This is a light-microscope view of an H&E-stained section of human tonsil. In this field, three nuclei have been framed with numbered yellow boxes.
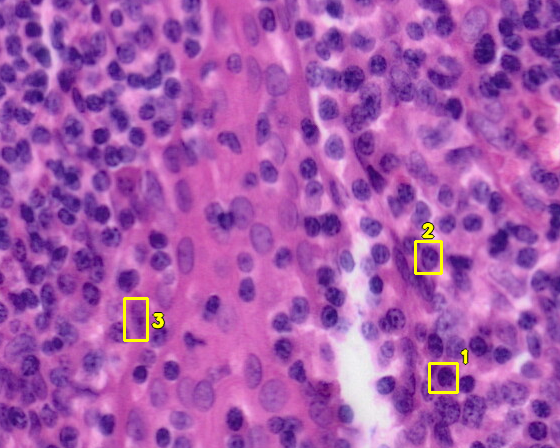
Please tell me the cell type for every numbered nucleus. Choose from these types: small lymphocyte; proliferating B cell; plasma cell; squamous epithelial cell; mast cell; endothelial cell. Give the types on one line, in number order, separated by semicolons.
plasma cell; plasma cell; squamous epithelial cell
